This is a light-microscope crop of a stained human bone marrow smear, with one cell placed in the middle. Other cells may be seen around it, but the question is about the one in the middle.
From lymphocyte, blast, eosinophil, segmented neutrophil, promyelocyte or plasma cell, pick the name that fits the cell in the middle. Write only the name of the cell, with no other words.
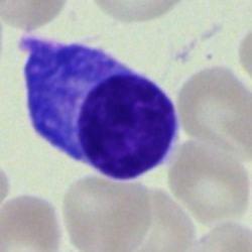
plasma cell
